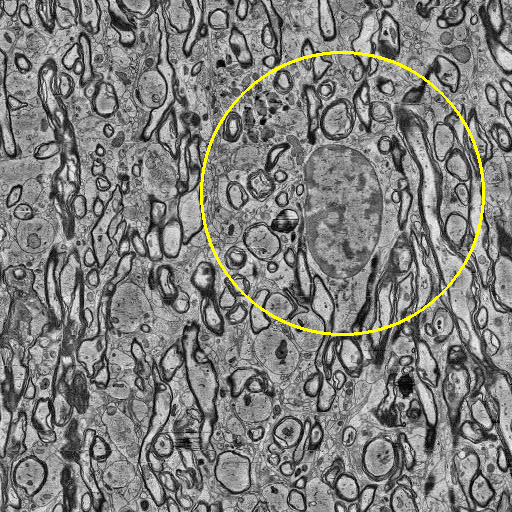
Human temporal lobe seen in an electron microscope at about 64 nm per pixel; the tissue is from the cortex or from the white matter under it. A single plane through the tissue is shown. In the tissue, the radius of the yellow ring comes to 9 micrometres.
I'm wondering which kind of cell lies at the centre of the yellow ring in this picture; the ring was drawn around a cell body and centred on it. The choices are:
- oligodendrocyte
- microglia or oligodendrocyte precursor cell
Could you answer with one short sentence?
At the centre of the ring lies a microglial cell or oligodendrocyte precursor cell.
